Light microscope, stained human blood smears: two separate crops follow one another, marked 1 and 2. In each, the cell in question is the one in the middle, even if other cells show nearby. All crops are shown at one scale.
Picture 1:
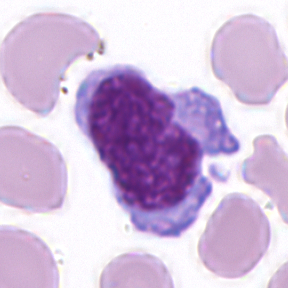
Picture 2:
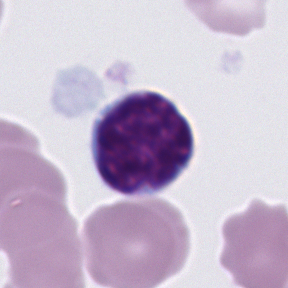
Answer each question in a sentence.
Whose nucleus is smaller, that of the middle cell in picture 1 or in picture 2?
The nucleus in picture 2 is smaller; the one in picture 1 has about 1.5 times its area.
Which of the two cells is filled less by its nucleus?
In picture 1 the nucleus takes up the smaller part of its cell.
